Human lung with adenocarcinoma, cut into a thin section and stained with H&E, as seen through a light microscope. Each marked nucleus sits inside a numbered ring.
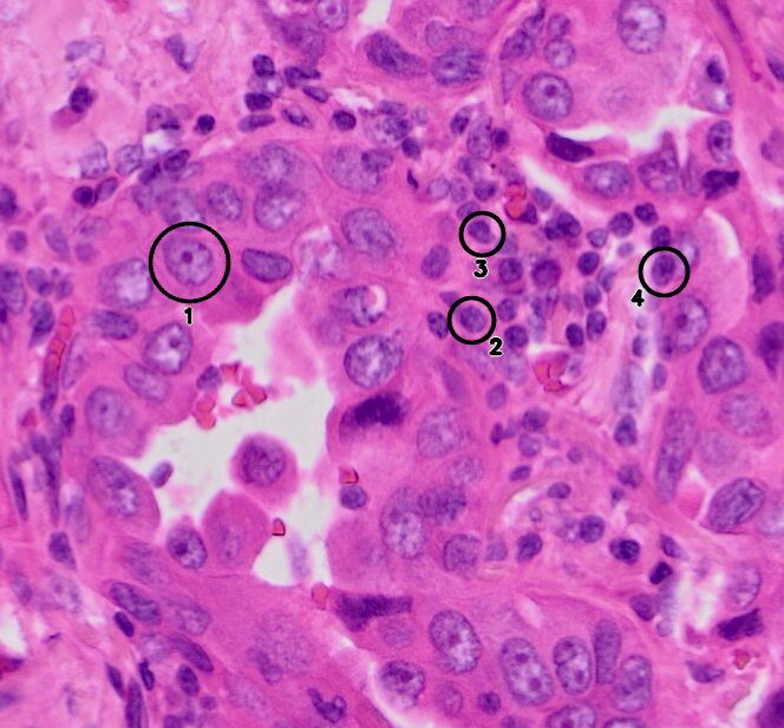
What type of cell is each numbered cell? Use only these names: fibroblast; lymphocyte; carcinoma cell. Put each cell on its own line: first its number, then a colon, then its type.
1: carcinoma cell
2: lymphocyte
3: lymphocyte
4: lymphocyte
